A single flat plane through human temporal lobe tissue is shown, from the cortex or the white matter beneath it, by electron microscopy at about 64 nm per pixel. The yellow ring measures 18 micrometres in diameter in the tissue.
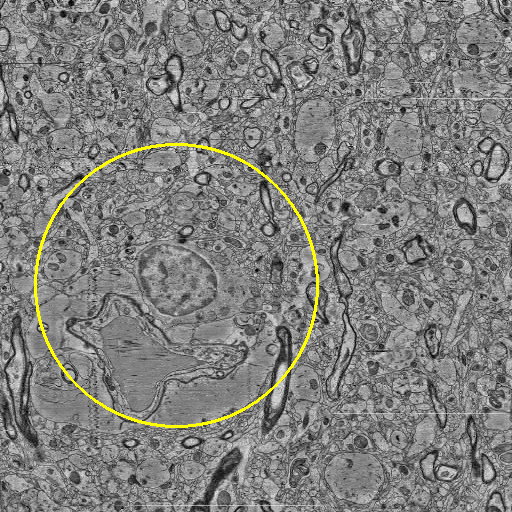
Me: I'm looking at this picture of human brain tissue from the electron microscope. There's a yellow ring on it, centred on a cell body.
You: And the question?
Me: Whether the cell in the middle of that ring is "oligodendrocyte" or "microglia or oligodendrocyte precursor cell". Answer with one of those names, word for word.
oligodendrocyte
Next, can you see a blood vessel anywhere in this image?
Yes, a blood vessel is present in this picture.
